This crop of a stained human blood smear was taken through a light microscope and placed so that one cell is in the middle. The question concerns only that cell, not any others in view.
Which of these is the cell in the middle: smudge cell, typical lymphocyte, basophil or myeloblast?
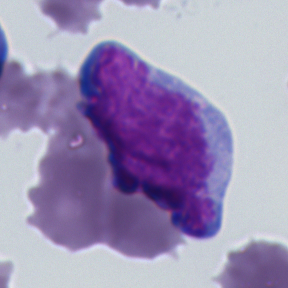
myeloblast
